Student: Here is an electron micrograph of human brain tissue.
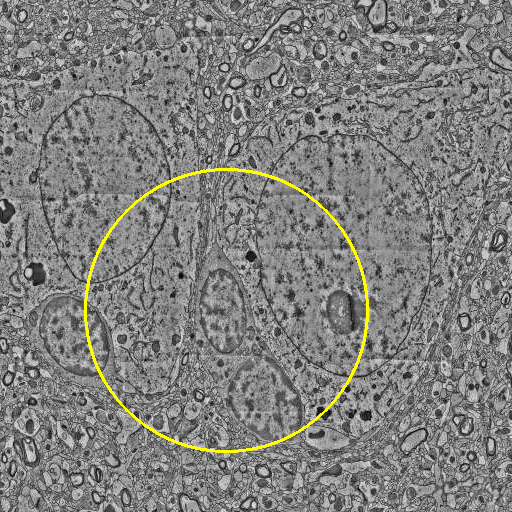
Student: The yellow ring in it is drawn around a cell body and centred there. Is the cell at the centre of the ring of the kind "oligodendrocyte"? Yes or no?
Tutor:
yes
